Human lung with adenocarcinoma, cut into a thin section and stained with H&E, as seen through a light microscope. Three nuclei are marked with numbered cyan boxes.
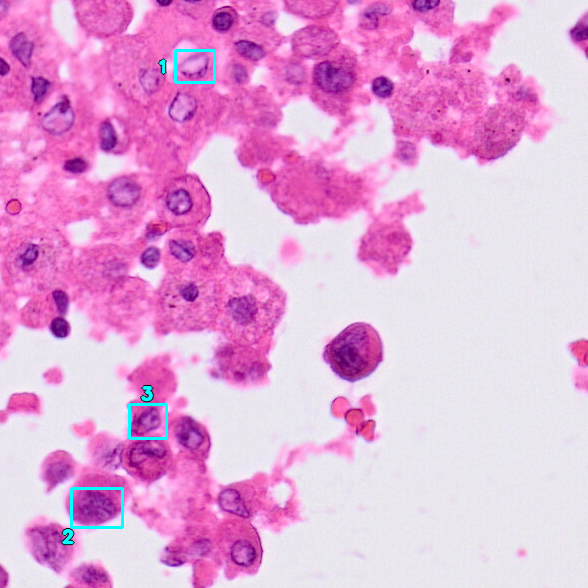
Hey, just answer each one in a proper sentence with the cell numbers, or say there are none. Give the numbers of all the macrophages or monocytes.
In this section, the cells numbered 1 and 3 are macrophages or monocytes.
